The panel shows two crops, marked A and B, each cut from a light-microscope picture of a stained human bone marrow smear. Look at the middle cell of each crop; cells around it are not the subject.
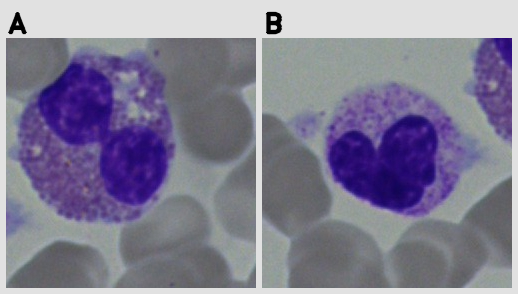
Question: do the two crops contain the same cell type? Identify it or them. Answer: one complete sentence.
No, a band neutrophil is the cell in crop B, and crop A contains an eosinophil.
